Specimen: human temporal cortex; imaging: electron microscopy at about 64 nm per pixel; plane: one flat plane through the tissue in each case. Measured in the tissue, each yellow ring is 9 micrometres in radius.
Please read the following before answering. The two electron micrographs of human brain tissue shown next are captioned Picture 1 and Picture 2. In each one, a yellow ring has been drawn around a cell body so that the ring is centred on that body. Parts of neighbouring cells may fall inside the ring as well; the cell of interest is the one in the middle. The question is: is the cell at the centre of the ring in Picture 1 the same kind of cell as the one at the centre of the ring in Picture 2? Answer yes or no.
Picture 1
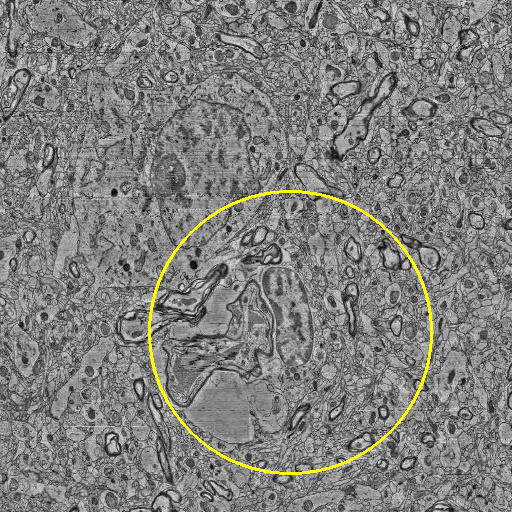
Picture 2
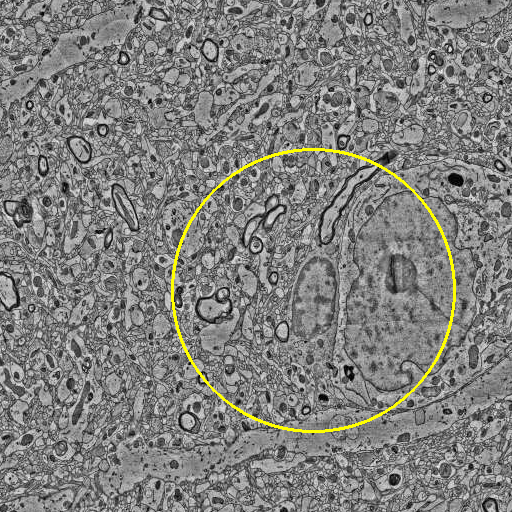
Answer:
no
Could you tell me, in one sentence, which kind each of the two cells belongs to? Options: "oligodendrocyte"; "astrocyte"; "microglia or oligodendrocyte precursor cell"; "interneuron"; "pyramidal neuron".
At the centre of the first ring sits a microglial cell or oligodendrocyte precursor cell, and at the centre of the second sits an oligodendrocyte.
